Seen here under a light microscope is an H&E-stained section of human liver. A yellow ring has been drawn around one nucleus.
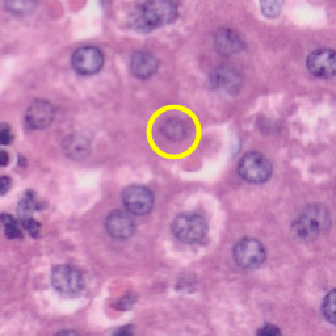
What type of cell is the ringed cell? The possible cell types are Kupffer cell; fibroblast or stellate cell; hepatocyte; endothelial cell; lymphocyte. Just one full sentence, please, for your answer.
In the tissue at hand, the ringed cell is a hepatocyte.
